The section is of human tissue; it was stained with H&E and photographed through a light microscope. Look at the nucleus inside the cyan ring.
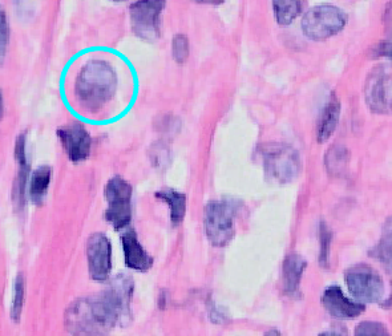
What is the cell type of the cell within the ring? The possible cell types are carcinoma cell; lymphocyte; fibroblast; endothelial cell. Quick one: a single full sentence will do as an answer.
By cell type, the cell within the ring is a carcinoma cell.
